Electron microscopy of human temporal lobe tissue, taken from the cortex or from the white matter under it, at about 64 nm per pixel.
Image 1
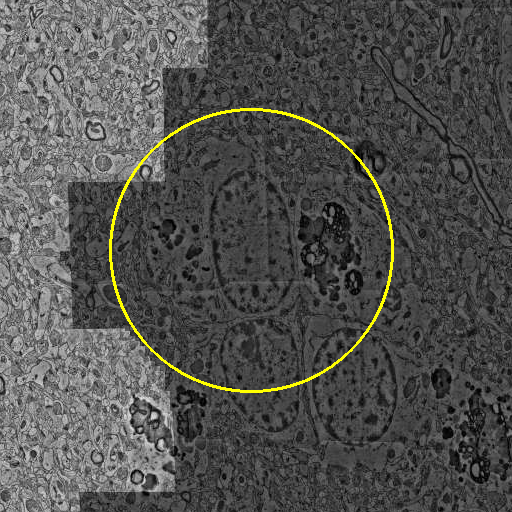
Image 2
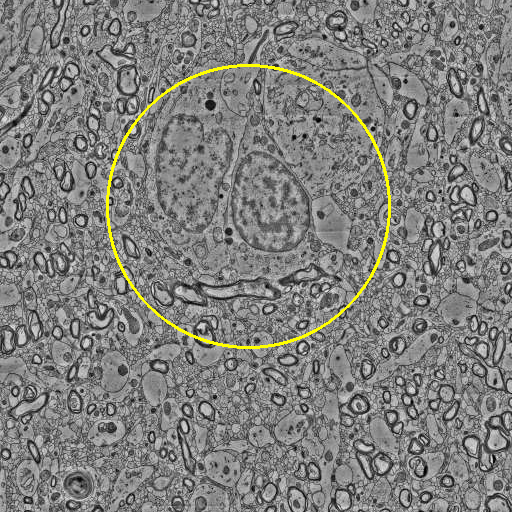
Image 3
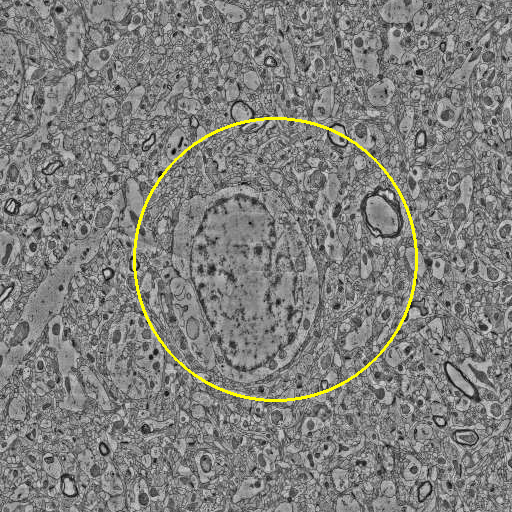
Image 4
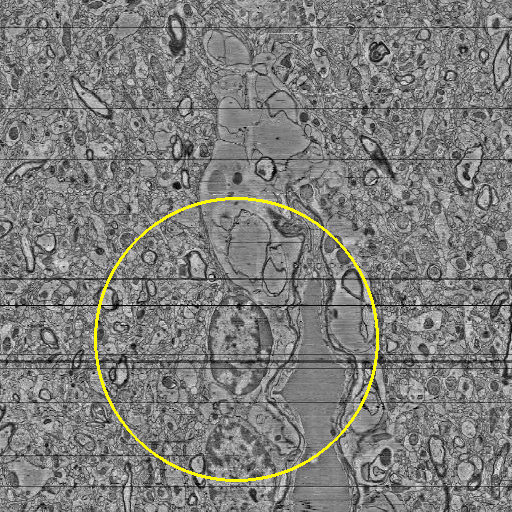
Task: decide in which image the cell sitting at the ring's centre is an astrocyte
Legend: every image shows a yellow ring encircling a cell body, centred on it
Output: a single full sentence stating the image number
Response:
In image 1, the cell at the middle of the ring is the match.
